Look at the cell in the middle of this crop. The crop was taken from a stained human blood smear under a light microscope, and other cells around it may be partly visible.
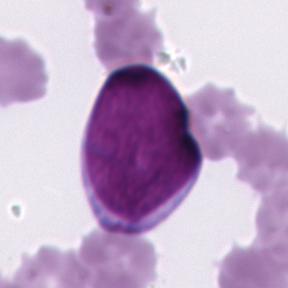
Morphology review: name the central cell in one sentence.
Classification of the middle cell gives a blast.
